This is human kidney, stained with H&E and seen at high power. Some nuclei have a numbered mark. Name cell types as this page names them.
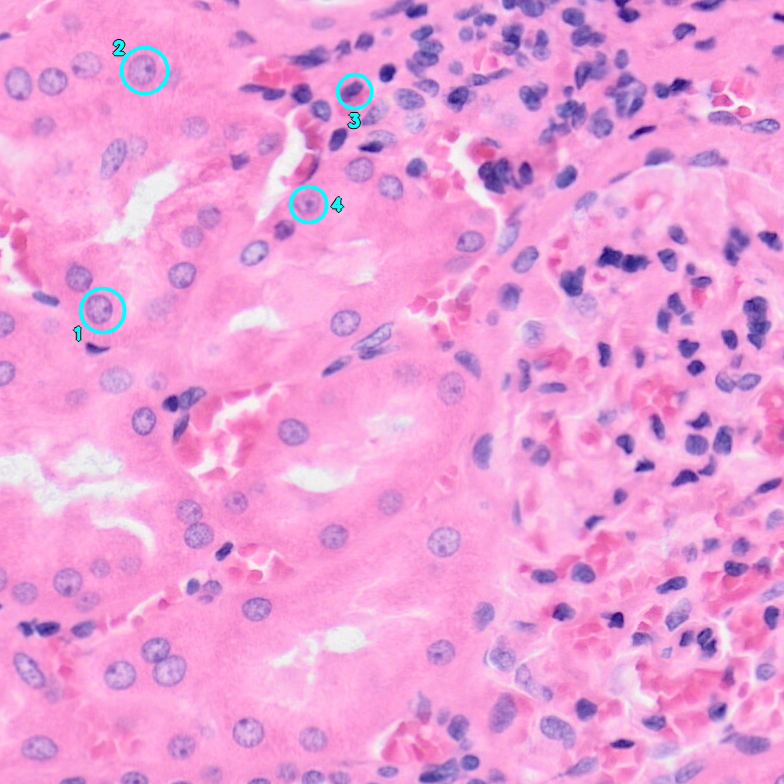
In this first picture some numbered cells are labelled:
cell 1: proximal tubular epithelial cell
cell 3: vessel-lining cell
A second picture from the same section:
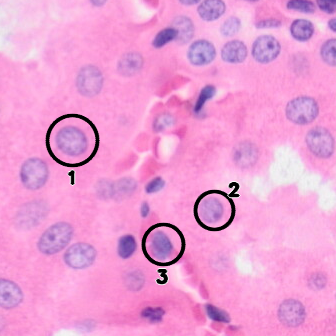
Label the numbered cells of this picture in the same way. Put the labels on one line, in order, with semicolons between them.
proximal tubular epithelial cell; proximal tubular epithelial cell; vessel-lining cell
